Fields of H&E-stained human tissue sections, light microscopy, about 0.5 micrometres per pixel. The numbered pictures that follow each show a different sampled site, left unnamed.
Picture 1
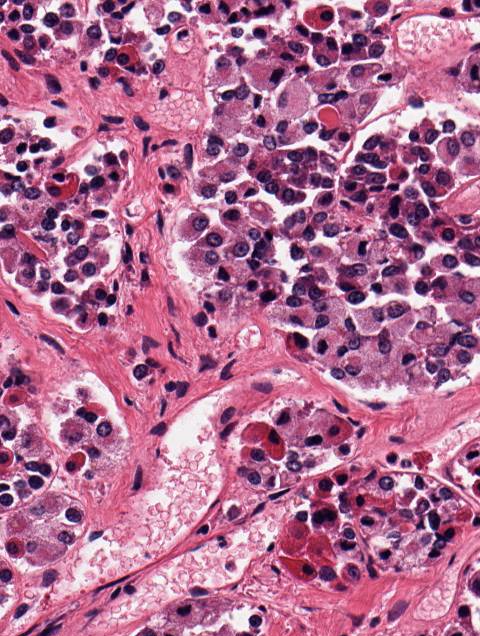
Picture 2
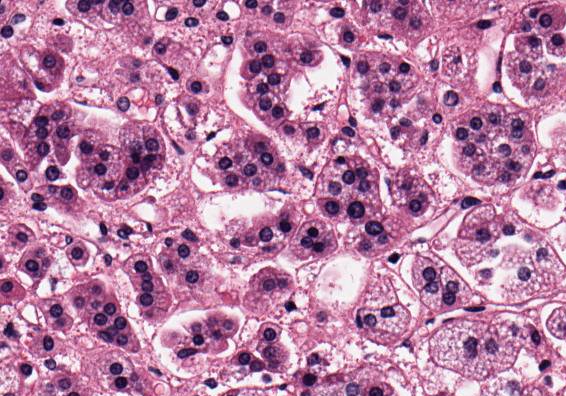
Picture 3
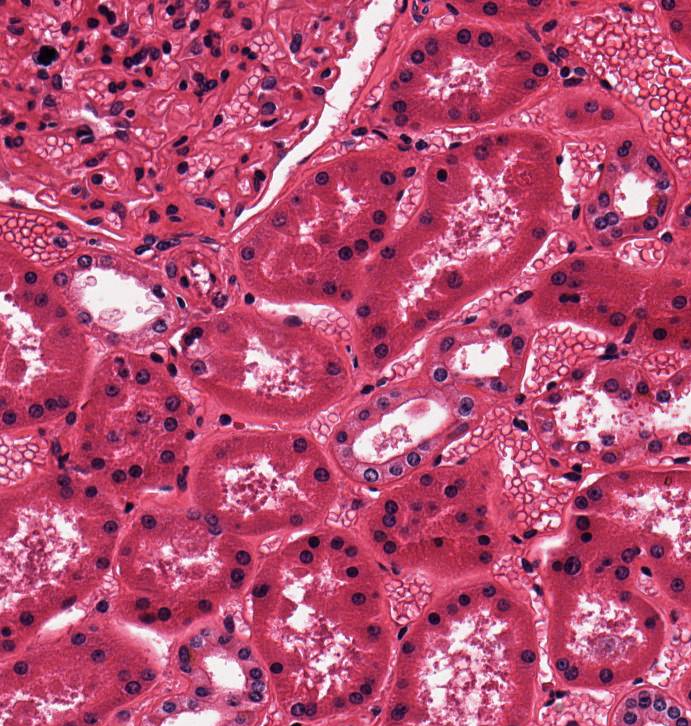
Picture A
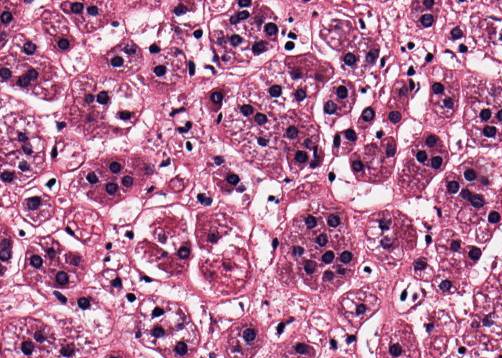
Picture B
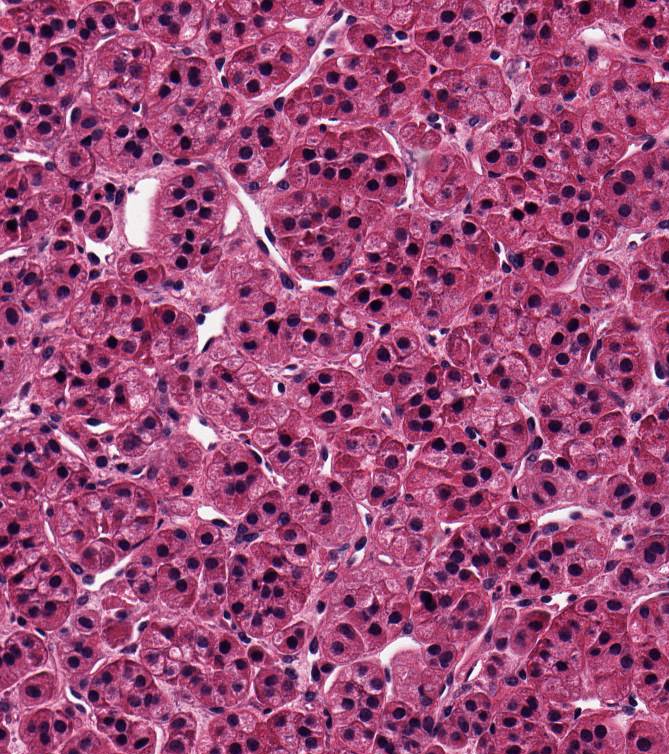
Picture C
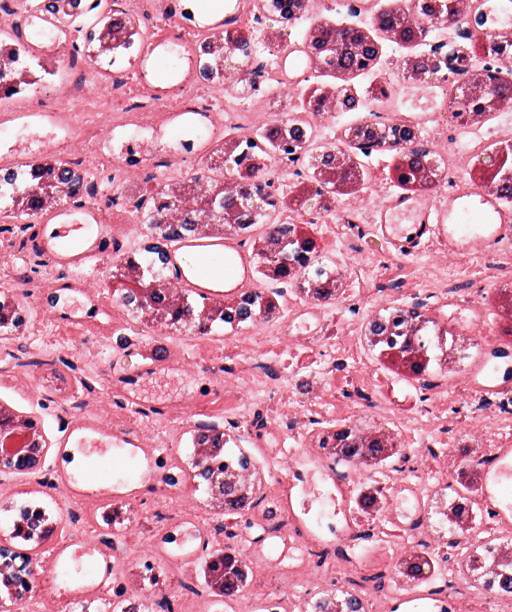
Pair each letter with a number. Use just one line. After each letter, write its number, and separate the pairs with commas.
A 2, B 2, C 1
